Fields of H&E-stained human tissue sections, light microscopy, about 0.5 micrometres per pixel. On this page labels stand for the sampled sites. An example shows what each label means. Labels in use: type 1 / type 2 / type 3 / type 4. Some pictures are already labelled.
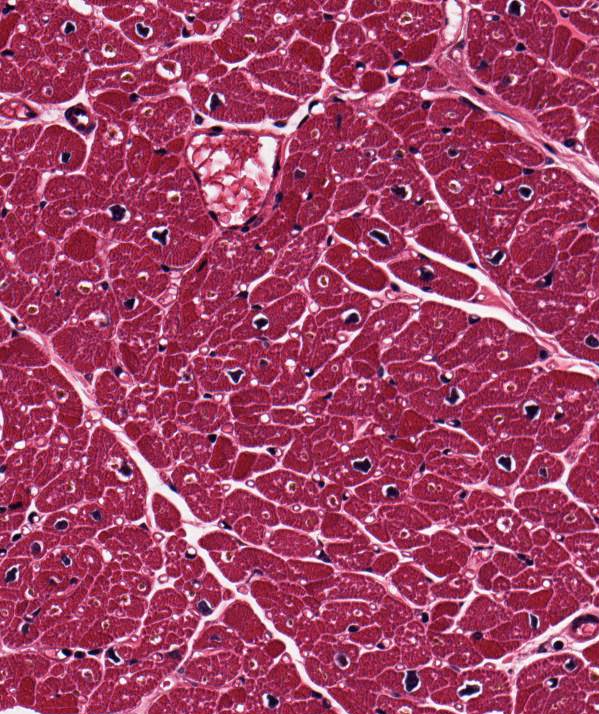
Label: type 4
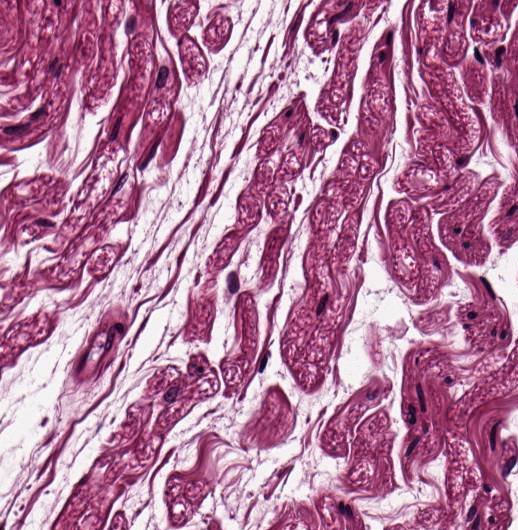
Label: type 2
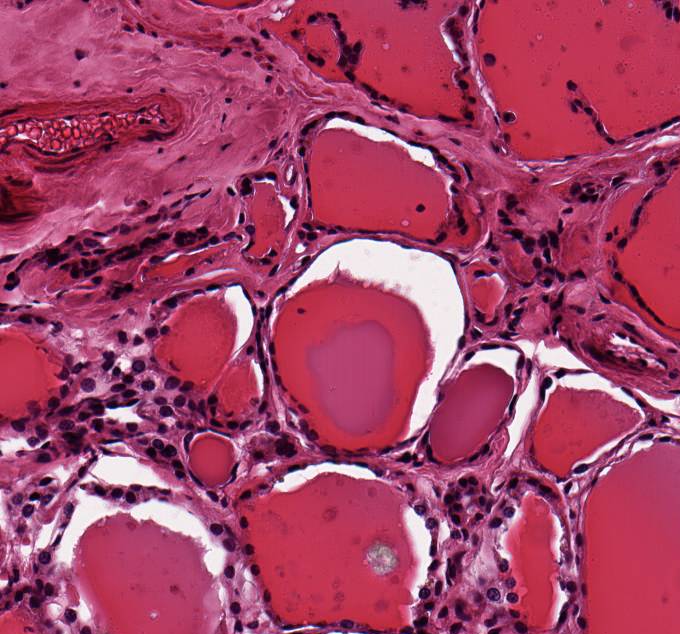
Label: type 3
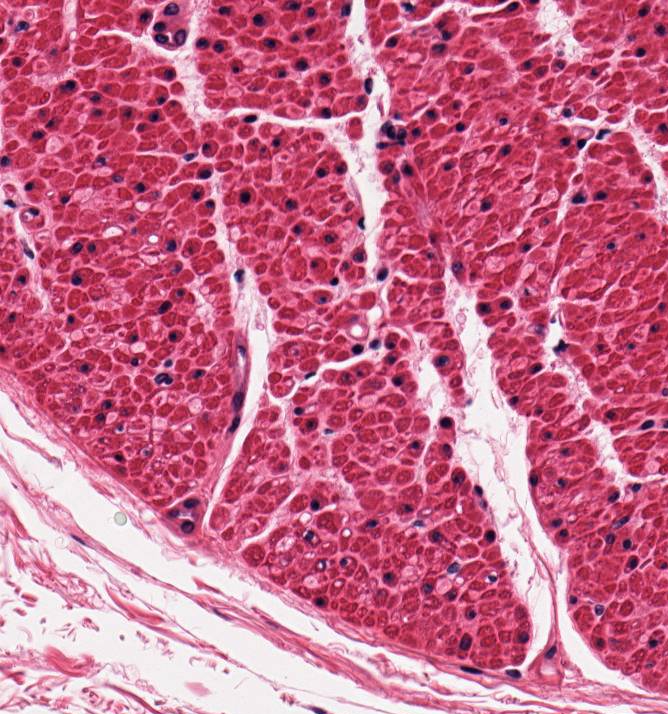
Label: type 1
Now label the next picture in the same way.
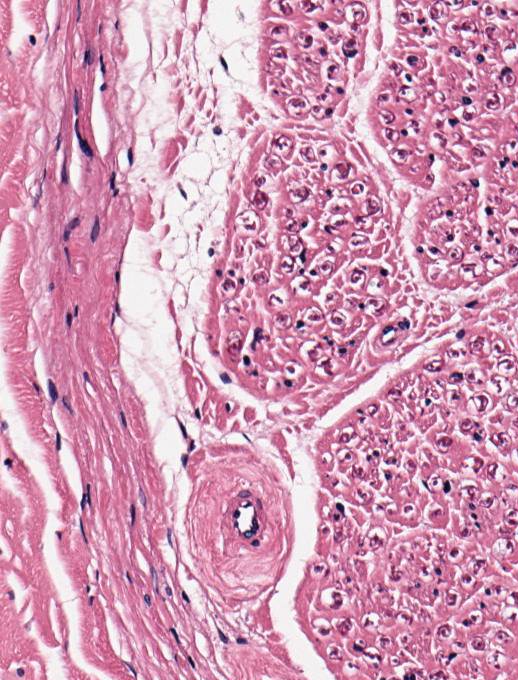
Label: type 2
